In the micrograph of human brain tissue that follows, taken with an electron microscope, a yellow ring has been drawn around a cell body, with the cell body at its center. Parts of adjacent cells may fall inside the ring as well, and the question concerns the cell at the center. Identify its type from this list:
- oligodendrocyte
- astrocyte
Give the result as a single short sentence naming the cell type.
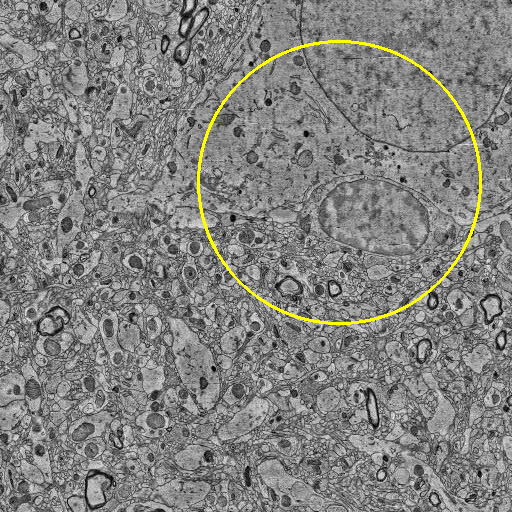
The ring is centered on an oligodendrocyte.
